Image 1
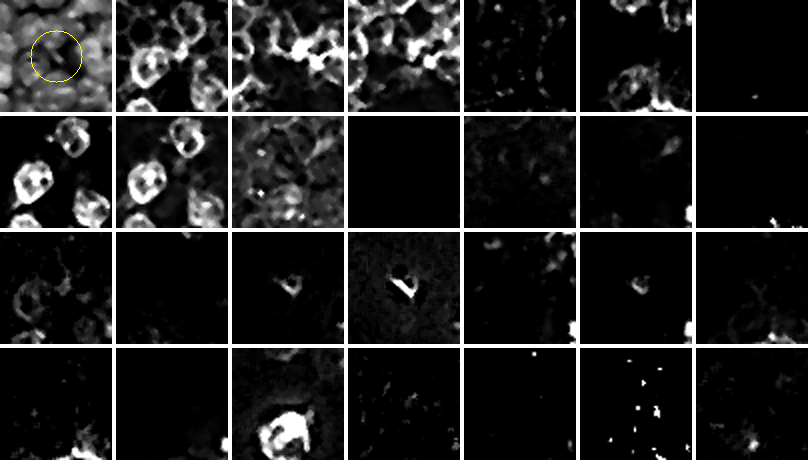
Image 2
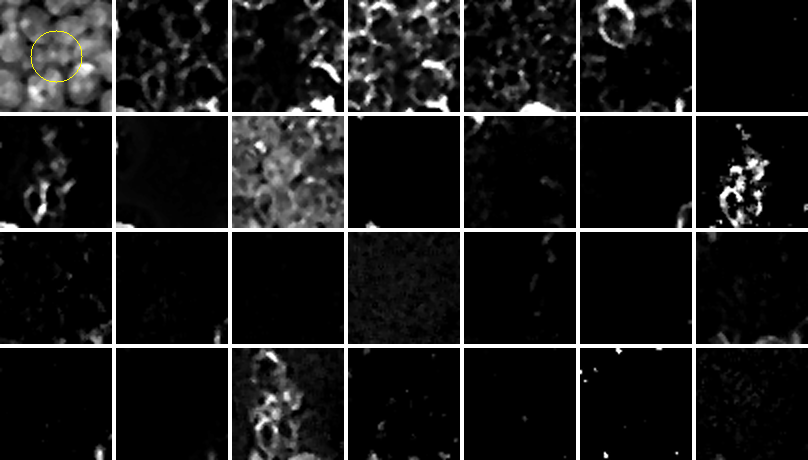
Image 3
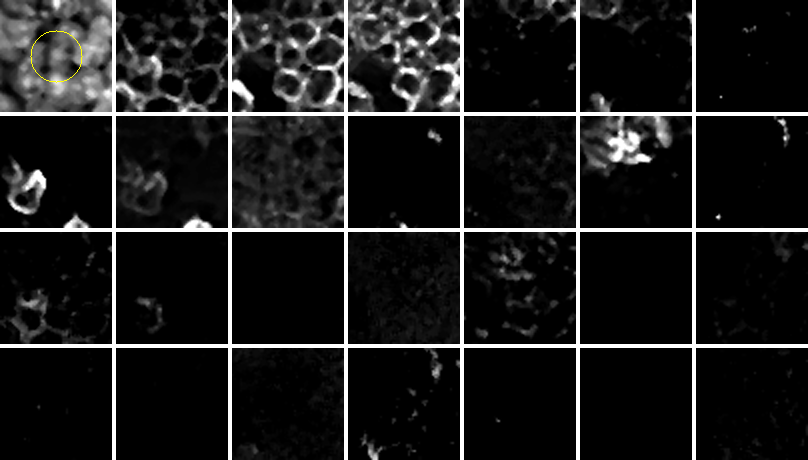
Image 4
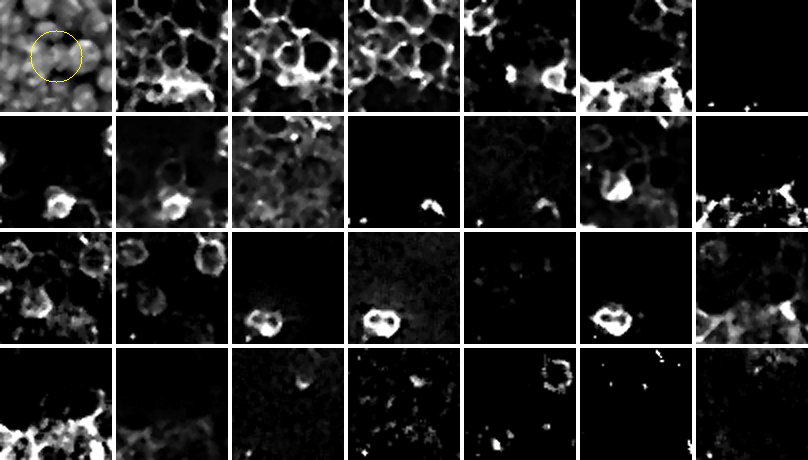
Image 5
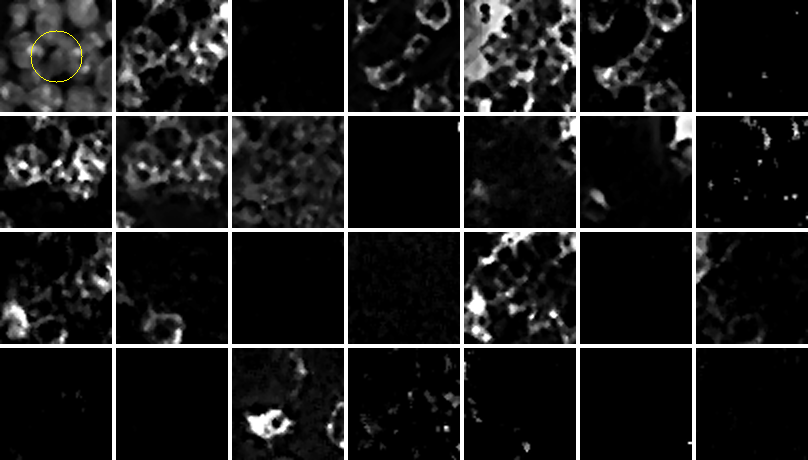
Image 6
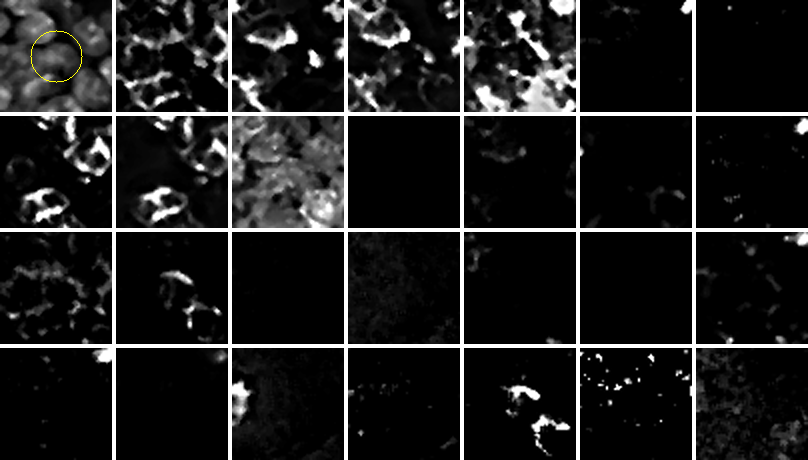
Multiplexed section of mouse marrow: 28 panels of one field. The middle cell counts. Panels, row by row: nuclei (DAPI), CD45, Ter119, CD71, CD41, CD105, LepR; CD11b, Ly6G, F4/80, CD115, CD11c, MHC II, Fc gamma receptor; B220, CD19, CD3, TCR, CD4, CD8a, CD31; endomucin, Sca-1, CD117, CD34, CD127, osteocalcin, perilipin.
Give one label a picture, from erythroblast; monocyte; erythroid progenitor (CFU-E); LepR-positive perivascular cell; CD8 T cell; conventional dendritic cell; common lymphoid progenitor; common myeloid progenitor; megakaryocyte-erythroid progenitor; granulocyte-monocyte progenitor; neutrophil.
1. CD8 T cell
2. erythroid progenitor (CFU-E)
3. erythroblast
4. erythroblast
5. neutrophil
6. common lymphoid progenitor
